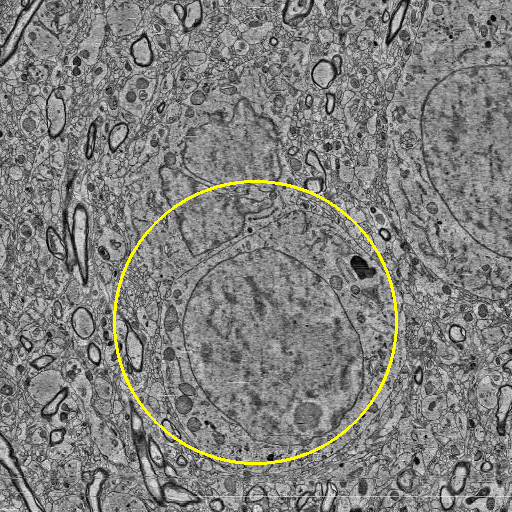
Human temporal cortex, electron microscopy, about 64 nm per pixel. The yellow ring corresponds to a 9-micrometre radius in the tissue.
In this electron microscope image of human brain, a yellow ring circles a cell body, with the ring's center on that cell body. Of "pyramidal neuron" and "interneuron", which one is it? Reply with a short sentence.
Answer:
It is a pyramidal neuron at the center of the ring.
